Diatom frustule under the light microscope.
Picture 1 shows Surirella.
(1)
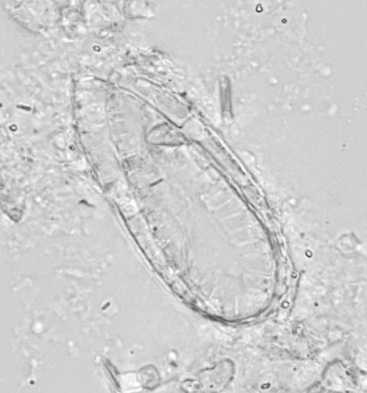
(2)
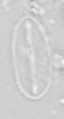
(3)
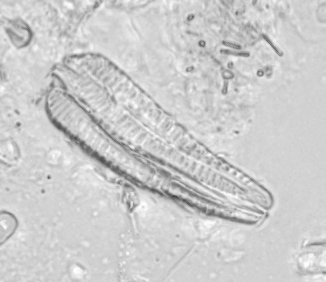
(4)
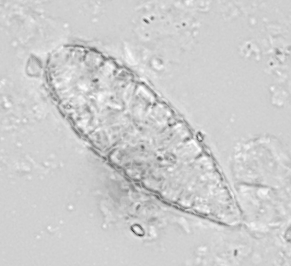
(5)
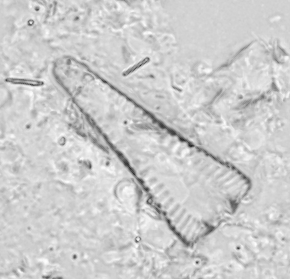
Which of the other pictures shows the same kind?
Picture 4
